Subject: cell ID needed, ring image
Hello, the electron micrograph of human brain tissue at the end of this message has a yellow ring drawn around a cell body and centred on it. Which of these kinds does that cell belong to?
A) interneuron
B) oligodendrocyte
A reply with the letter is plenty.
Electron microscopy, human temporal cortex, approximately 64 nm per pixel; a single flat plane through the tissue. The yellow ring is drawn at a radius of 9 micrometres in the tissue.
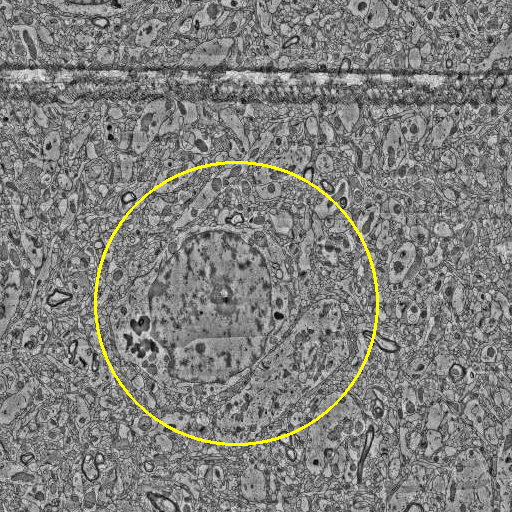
A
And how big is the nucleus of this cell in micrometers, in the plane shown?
In this plane the nucleus measures roughly 10 by 8 micrometers.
